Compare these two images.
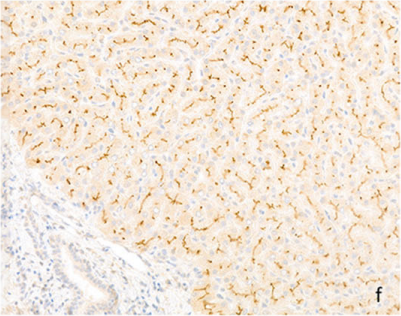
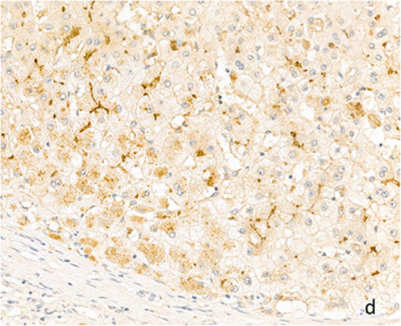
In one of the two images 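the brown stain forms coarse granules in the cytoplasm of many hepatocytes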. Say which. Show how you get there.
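First image: brown stain forms regular fine lines between hepatocytes, the cytoplasm is pale. Second image: brown stain appears as coarse clumps inside hepatocytes, with only patchy lines between cells.
Answer: the second image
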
